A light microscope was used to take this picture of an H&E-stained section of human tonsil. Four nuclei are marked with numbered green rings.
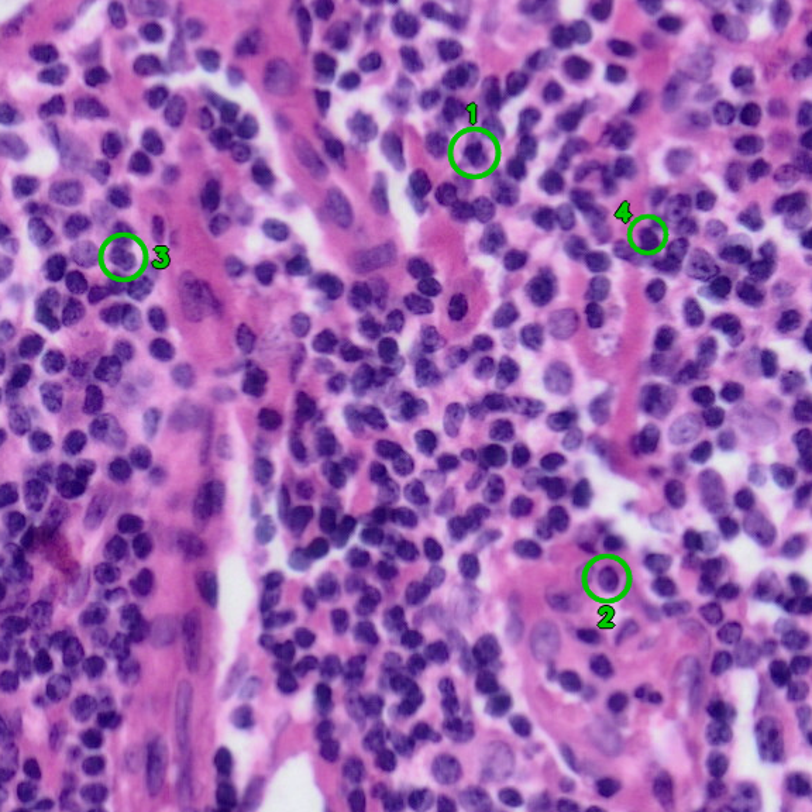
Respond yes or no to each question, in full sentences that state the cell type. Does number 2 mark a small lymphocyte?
No, number 2 is not a small lymphocyte; it is an endothelial cell.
